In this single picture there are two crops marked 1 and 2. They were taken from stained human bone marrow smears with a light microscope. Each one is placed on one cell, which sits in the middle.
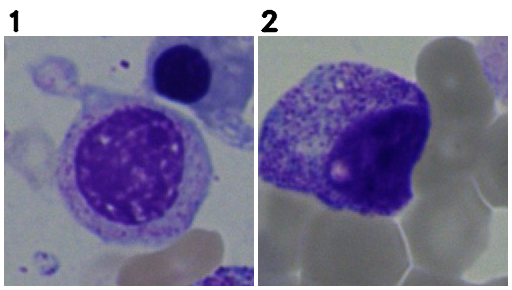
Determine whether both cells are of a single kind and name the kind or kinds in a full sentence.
Yes, in the middle of both crops lie myelocytes.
